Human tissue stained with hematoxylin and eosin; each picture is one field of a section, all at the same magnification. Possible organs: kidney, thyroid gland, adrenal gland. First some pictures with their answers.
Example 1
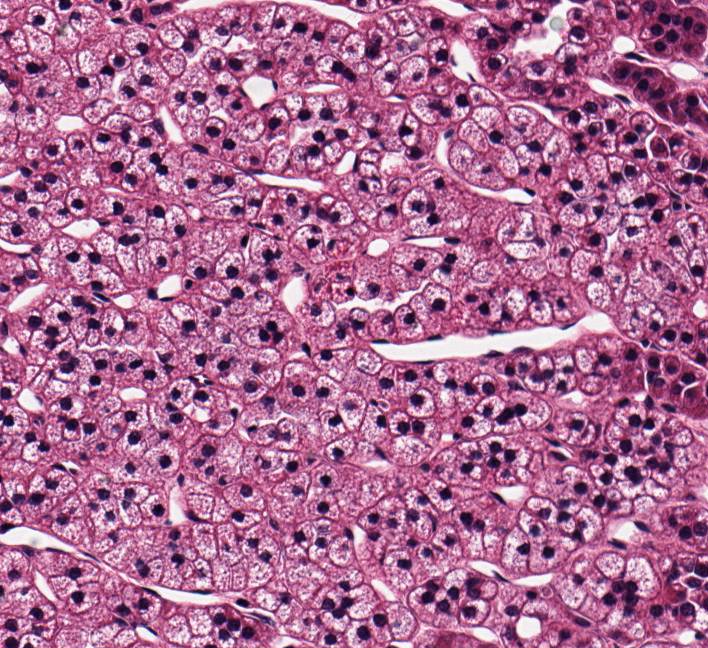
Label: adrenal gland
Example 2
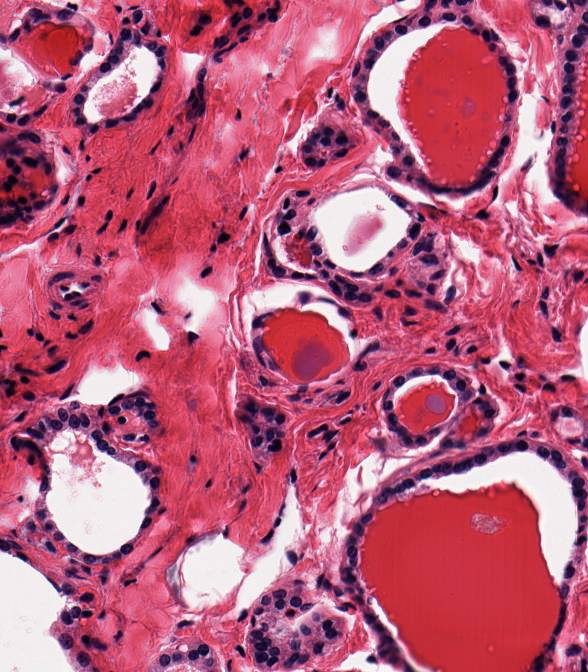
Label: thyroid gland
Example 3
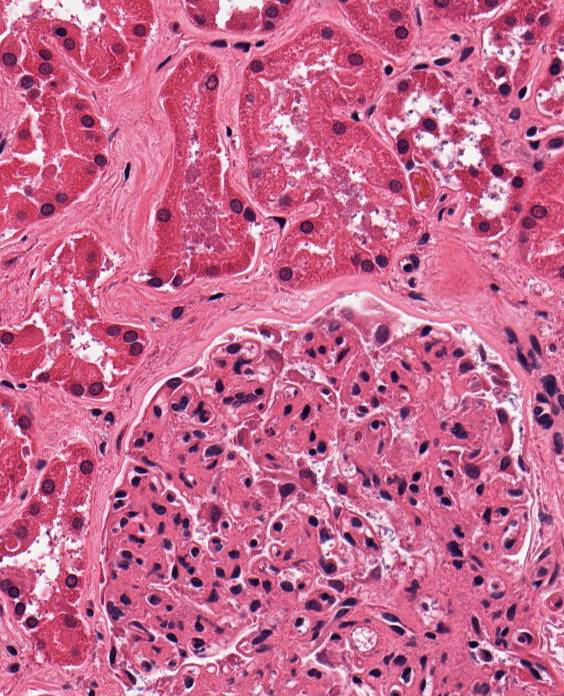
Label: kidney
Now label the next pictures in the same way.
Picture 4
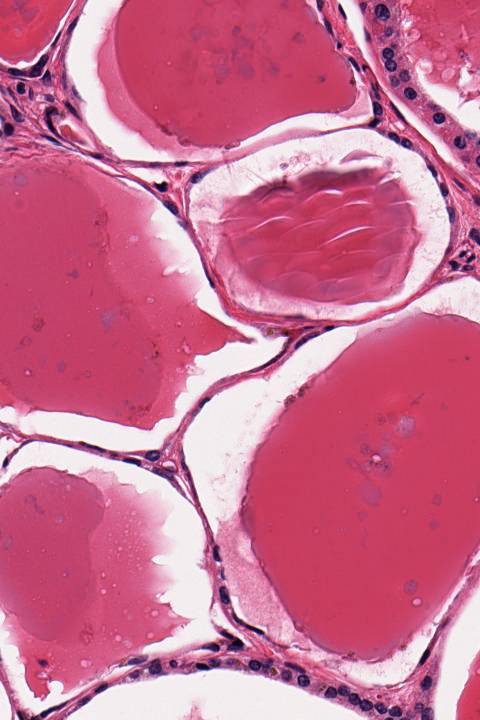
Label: thyroid gland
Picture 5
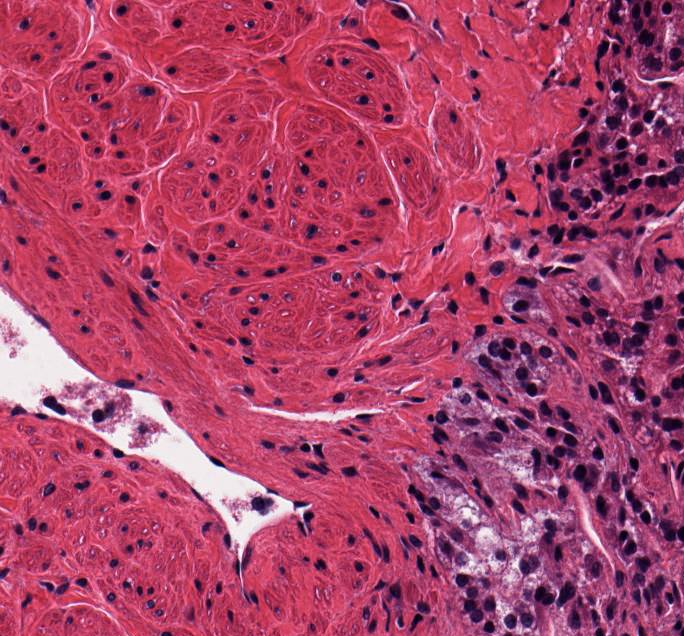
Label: adrenal gland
